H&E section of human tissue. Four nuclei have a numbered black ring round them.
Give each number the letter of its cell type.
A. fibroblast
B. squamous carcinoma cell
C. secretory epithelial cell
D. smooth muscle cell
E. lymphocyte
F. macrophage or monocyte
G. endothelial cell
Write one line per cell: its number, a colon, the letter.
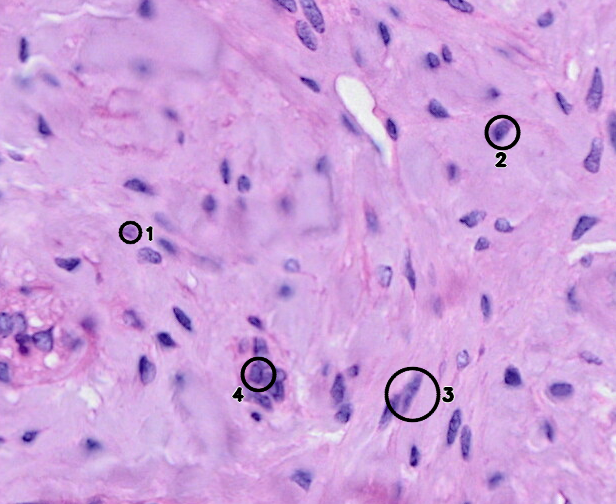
1: A
2: A
3: A
4: G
